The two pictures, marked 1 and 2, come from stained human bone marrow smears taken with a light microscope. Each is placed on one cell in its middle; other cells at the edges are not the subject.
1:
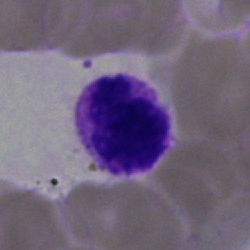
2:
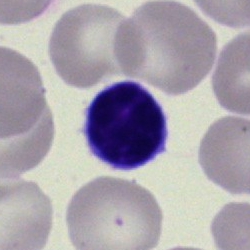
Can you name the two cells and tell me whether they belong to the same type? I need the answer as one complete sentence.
No, crop 1 carries a basophil and crop 2 carries a lymphocyte.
